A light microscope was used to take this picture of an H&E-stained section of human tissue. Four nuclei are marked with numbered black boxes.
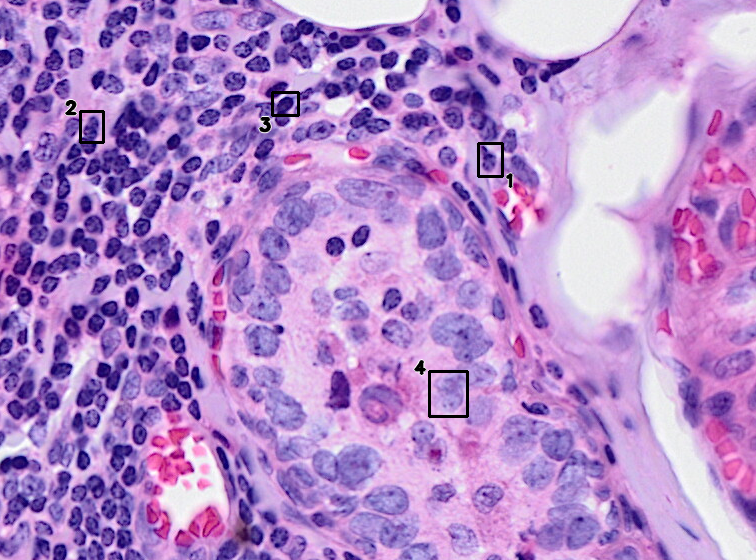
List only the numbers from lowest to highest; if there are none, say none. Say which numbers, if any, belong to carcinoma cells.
4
